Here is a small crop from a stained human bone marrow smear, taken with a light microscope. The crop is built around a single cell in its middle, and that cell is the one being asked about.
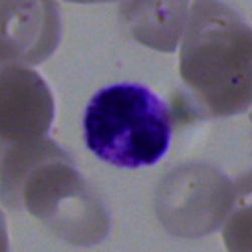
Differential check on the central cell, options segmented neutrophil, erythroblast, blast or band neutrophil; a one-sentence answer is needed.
The cell that lies at the centre of the crop is a segmented neutrophil.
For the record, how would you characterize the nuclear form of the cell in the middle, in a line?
One compact mass makes up the whole nucleus, round, oval or kidney-shaped.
